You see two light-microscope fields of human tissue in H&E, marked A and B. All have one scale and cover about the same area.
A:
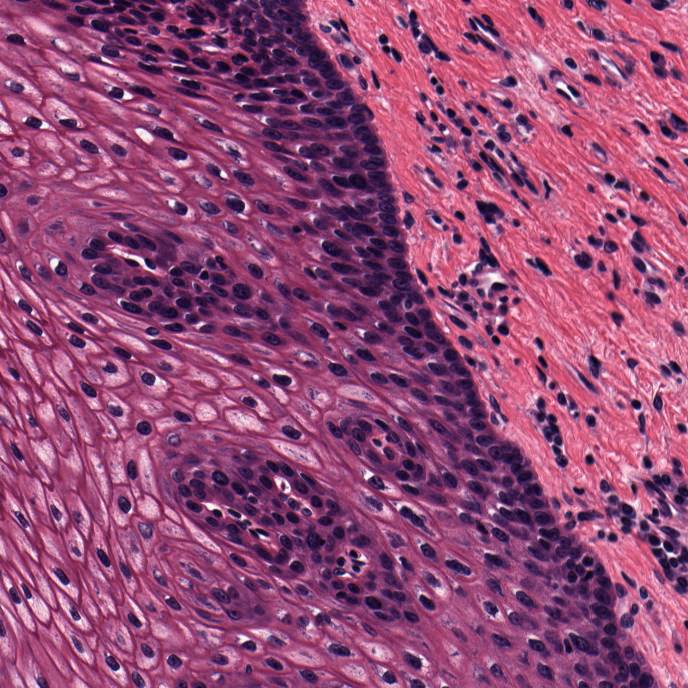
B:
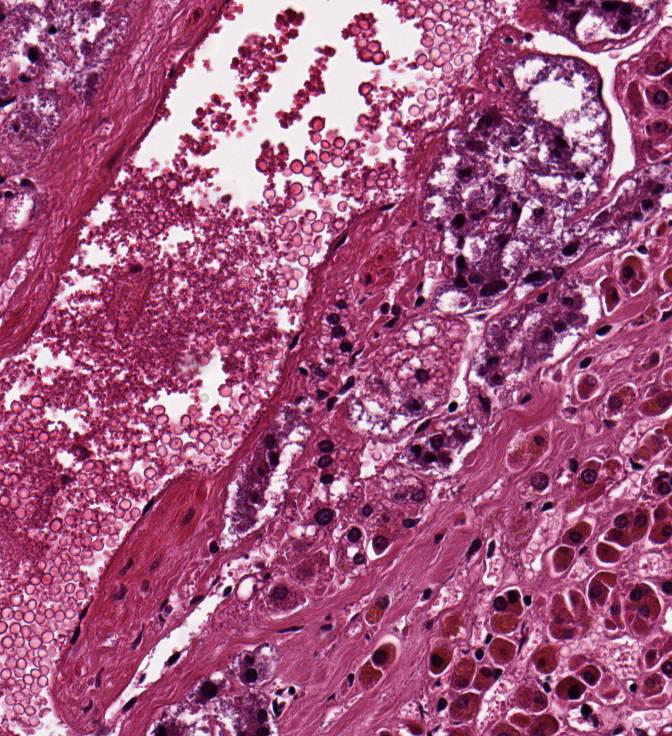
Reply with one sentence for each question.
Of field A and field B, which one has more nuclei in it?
The larger number of nuclei is in field A.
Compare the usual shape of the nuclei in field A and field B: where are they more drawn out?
On the whole the nuclei of field A are more drawn out than those of field B.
